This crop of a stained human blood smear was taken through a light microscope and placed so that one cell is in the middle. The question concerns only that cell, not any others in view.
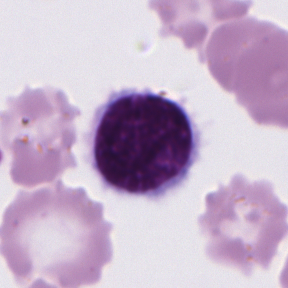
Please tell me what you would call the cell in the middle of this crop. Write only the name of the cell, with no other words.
hairy cell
